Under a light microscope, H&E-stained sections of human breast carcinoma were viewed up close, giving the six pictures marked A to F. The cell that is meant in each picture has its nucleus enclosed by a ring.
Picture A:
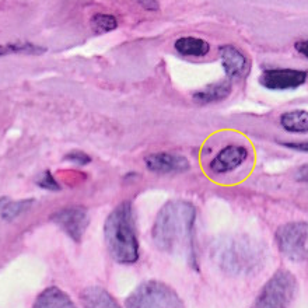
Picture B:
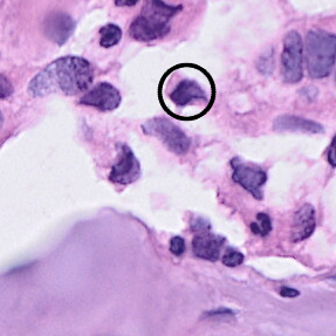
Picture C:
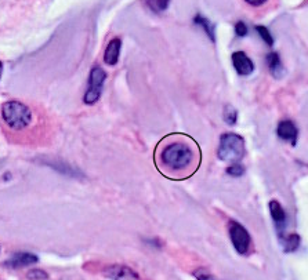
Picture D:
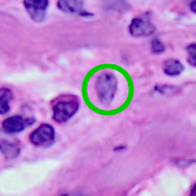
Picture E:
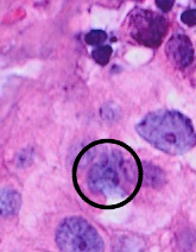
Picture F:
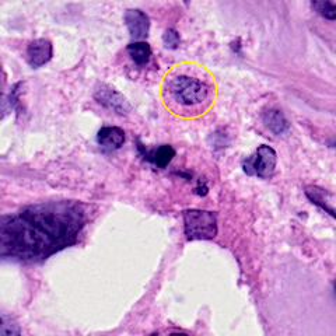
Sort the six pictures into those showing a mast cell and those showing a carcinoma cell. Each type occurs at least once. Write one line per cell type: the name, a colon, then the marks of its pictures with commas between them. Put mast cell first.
mast cell: A, C, D, F
carcinoma cell: B, E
